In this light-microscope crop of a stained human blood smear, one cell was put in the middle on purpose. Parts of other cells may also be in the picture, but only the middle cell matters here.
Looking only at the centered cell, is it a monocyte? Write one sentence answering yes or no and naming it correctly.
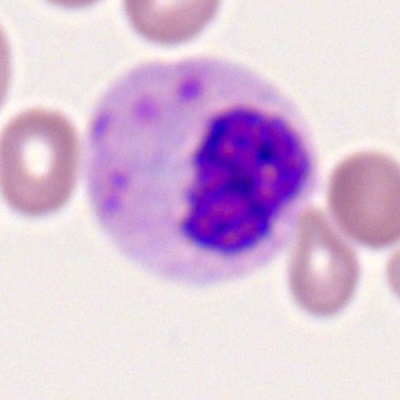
No, the central cell does not count as a monocyte; it is a segmented neutrophil.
